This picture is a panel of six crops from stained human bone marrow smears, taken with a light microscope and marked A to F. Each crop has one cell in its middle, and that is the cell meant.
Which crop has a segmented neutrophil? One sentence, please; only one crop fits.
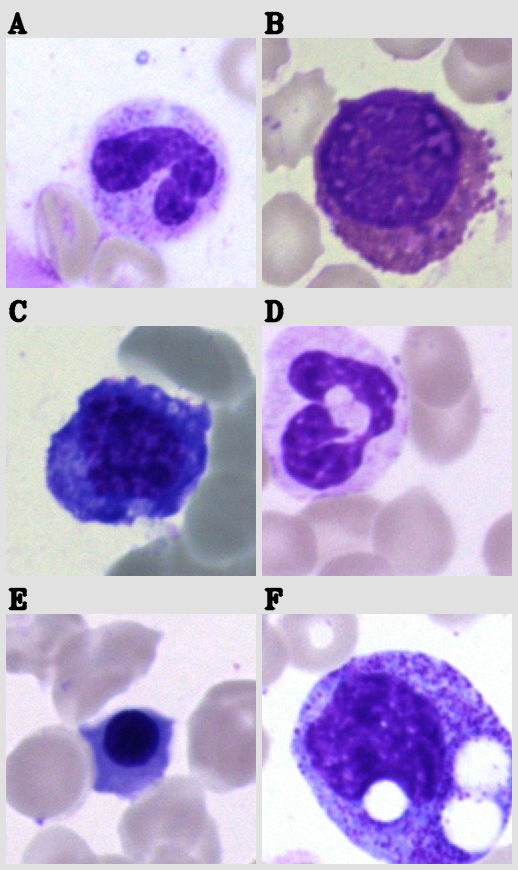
Crop D is the one that shows a segmented neutrophil.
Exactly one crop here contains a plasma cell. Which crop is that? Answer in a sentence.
Crop C represents a plasma cell, while the other crops do not.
